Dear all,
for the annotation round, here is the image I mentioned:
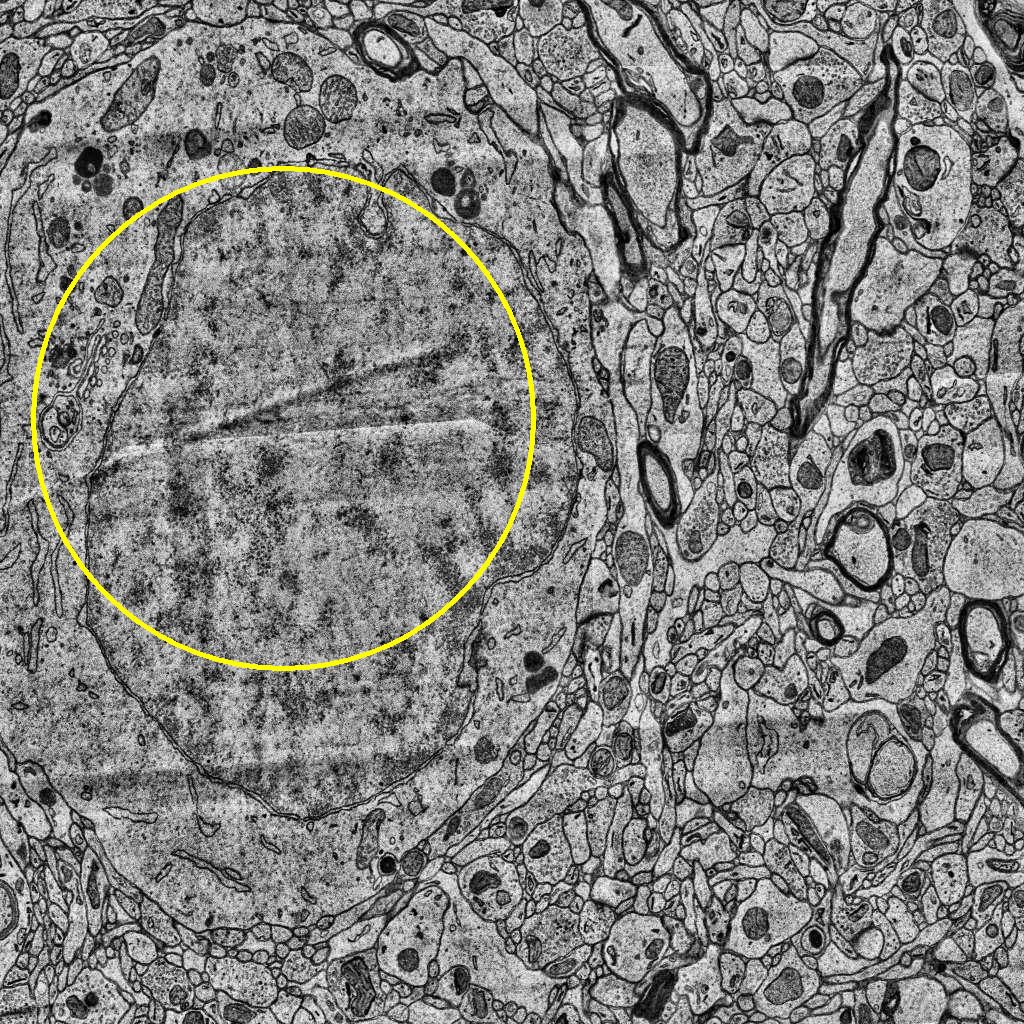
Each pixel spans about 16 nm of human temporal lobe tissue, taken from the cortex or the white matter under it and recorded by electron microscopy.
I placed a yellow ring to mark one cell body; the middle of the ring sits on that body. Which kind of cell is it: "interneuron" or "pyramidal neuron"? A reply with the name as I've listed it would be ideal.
interneuron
